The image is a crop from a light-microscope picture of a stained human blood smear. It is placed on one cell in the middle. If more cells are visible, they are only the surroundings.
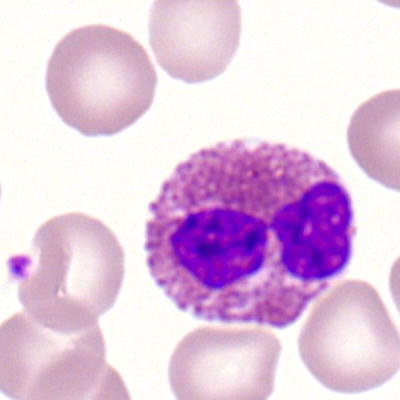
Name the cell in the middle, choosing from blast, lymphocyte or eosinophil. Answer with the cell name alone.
eosinophil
